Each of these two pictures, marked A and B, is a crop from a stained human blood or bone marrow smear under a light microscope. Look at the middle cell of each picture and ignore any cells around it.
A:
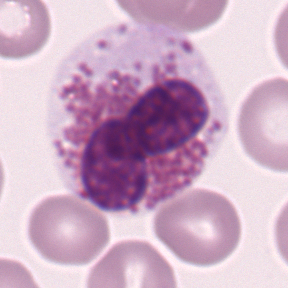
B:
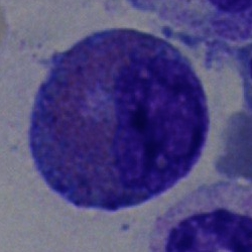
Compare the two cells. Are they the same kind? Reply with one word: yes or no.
yes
